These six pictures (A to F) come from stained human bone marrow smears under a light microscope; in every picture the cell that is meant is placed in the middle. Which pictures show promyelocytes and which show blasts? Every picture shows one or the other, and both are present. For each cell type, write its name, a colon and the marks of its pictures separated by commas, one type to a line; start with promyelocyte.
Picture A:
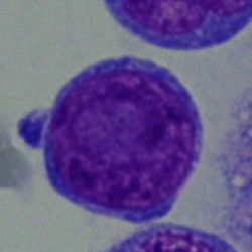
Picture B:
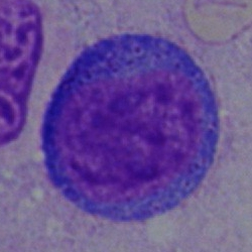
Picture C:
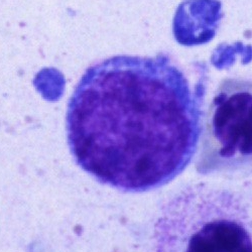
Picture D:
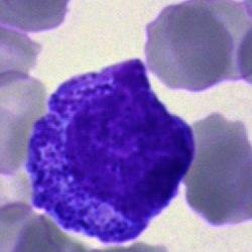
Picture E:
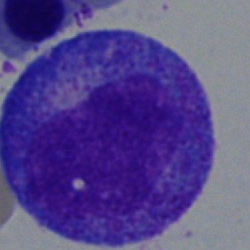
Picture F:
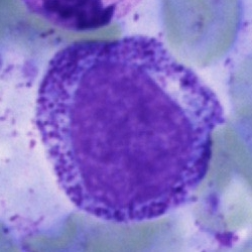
promyelocyte: D, E, F
blast: A, B, C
